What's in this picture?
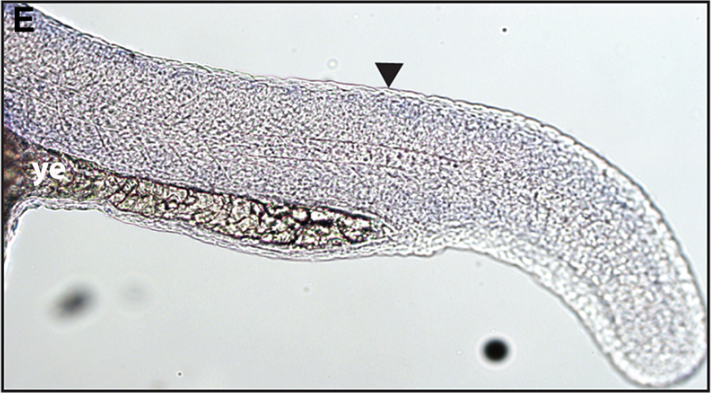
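This side view of an embryonic trunk and tail shows the spinal cord along the dorsal side, with faint purple stain, above longitudinal lines running down the trunk. Ventrally the elongated yolk extension appears filled with dark granular yolk. The tail curves at its end, and its tissue is made of closely packed small cells.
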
